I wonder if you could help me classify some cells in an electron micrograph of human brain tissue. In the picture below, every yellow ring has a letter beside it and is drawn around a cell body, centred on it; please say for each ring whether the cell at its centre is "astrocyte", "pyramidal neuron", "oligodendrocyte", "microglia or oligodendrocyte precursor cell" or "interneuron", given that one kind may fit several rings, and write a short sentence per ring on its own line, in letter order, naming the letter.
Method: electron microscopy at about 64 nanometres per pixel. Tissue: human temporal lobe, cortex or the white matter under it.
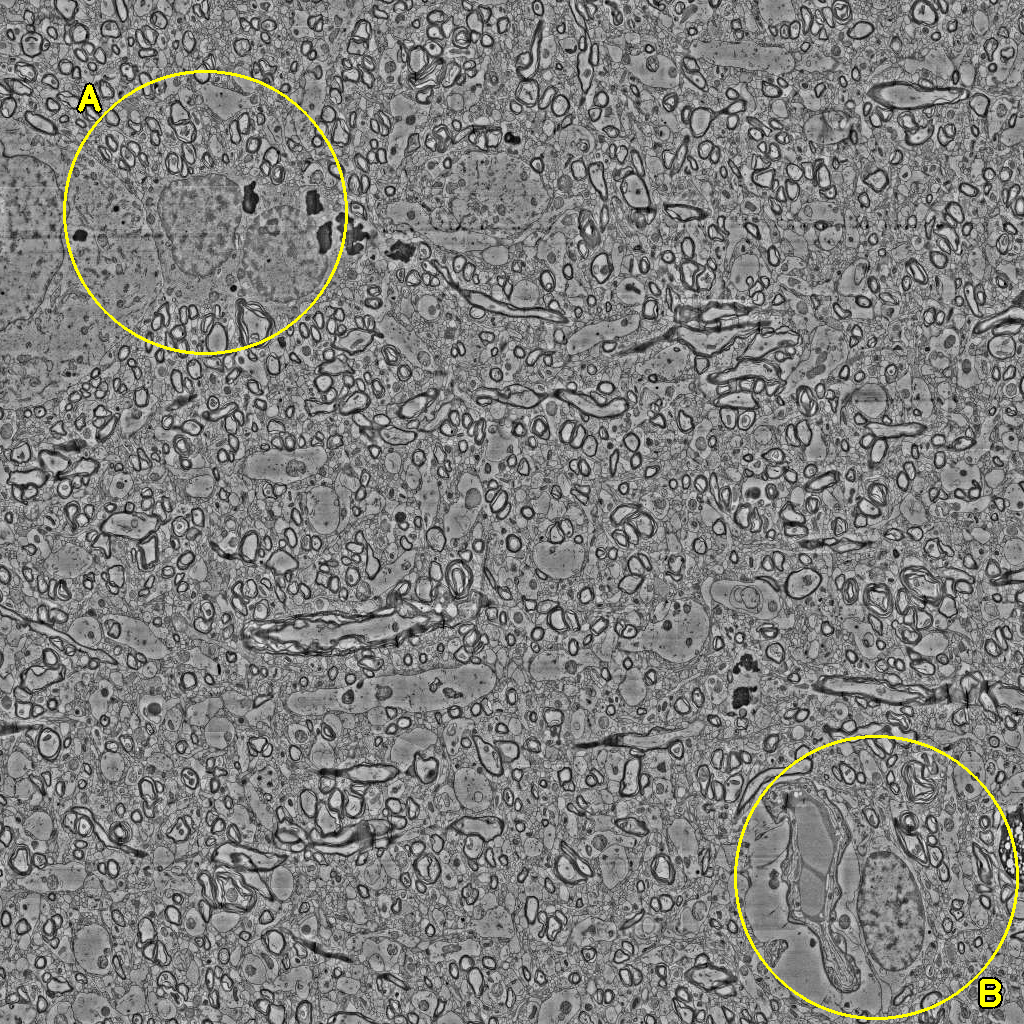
Centred in ring A is an oligodendrocyte.
Centred in ring B is a microglial cell or oligodendrocyte precursor cell.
